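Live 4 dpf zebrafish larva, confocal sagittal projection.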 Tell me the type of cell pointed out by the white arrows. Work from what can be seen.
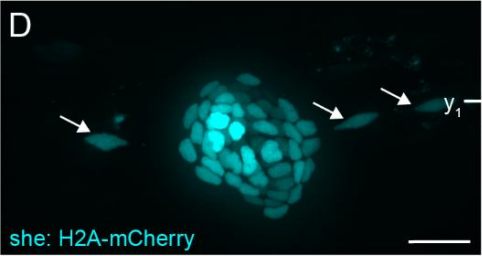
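Interneuromast cells. The arrows point to single, isolated elongated nuclei. These nuclei lie apart from, and to either side of, a large compact cluster of nuclei.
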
